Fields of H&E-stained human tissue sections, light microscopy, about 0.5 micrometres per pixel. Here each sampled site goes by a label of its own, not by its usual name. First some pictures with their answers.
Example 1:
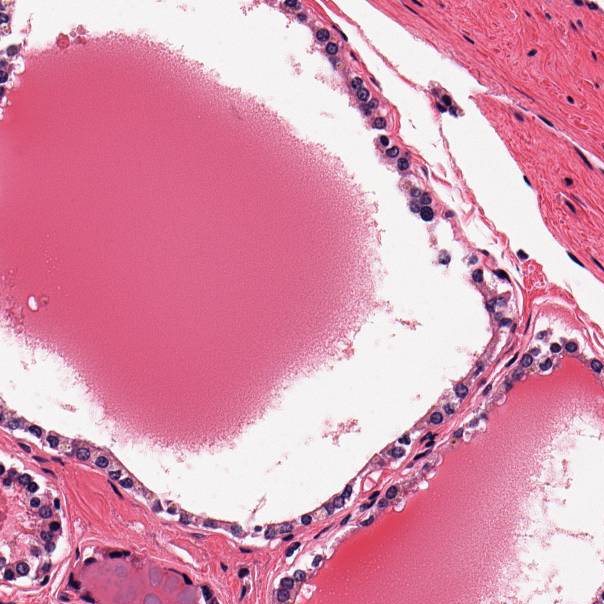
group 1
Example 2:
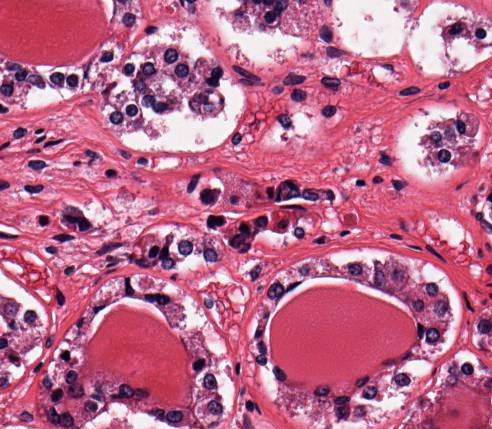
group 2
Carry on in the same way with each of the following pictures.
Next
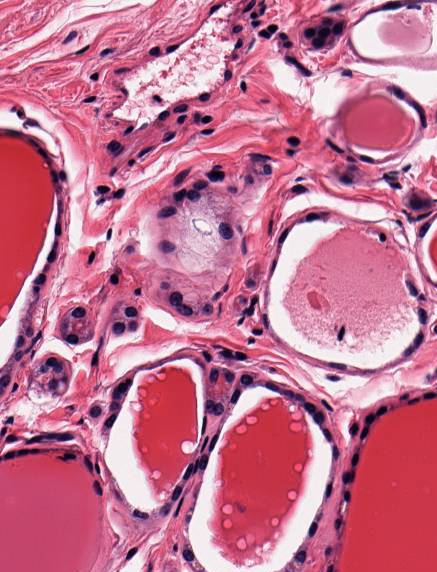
group 1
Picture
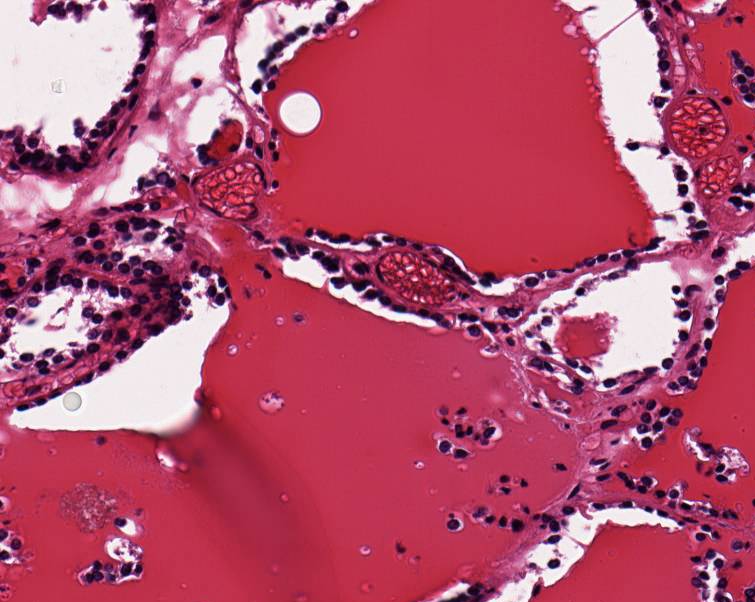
group 1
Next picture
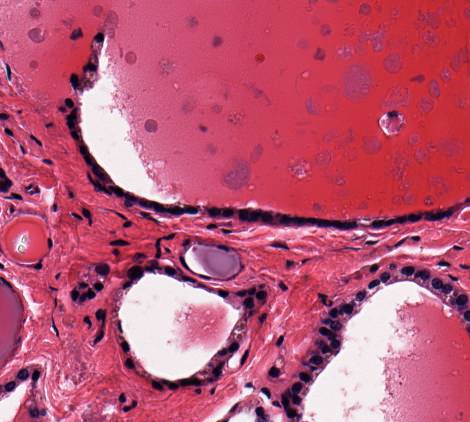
group 1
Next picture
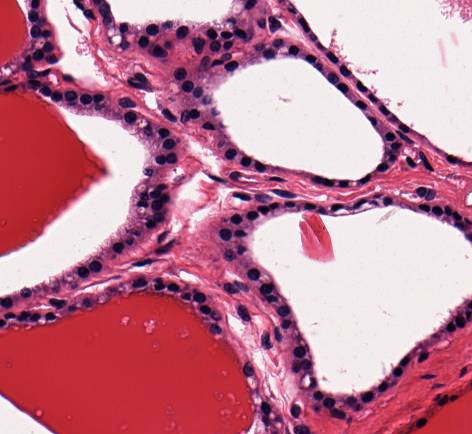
group 1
